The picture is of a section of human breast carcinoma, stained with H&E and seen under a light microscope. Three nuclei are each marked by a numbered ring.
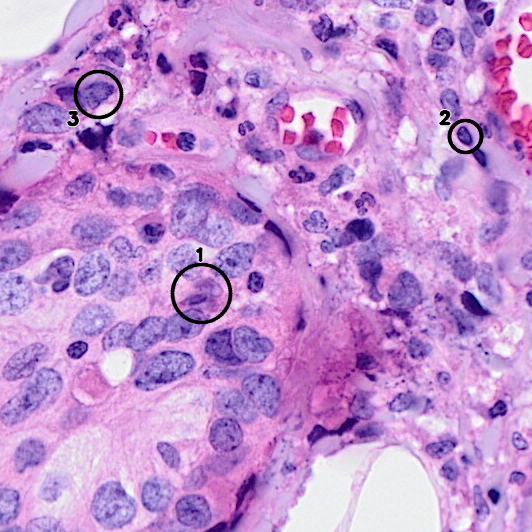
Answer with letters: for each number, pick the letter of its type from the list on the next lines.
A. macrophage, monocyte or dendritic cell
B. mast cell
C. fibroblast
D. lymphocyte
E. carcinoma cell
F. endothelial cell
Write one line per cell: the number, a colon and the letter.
1: E
2: D
3: E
